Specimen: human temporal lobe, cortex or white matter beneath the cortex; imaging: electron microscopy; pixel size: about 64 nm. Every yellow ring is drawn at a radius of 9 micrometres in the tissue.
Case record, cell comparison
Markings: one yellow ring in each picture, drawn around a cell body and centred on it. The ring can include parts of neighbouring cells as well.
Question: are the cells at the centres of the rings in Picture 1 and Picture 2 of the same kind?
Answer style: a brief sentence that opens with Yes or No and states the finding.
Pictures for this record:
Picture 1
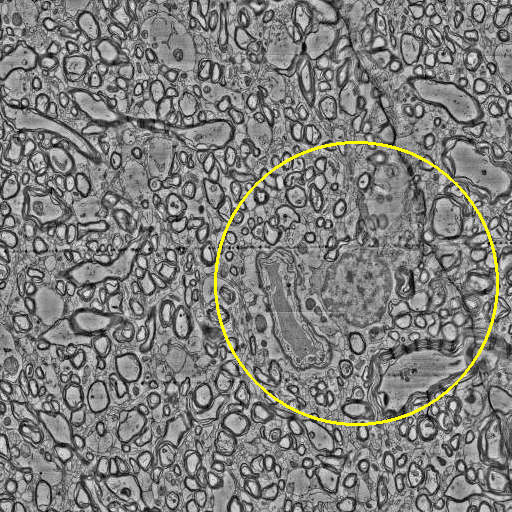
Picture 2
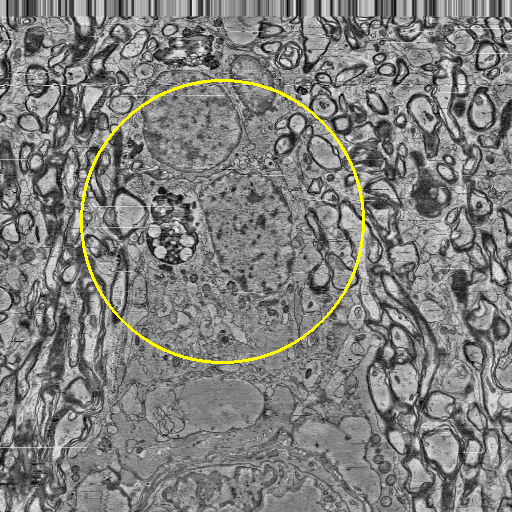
No, the cells in Picture 1 and Picture 2 are of two kinds.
